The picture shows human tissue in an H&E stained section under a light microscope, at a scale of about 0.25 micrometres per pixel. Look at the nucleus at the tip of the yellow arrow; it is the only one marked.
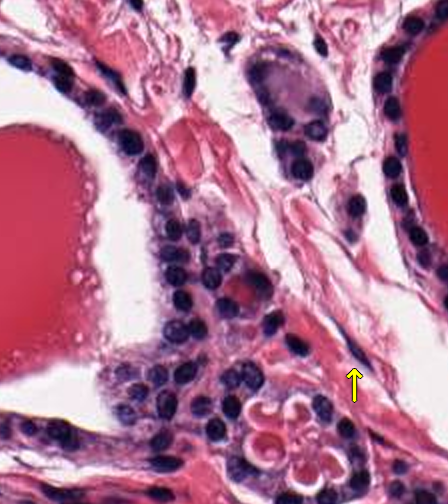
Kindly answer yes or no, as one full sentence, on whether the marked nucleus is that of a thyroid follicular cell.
No, the marked nucleus is not housed in a thyroid follicular cell but in a supporting cell.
